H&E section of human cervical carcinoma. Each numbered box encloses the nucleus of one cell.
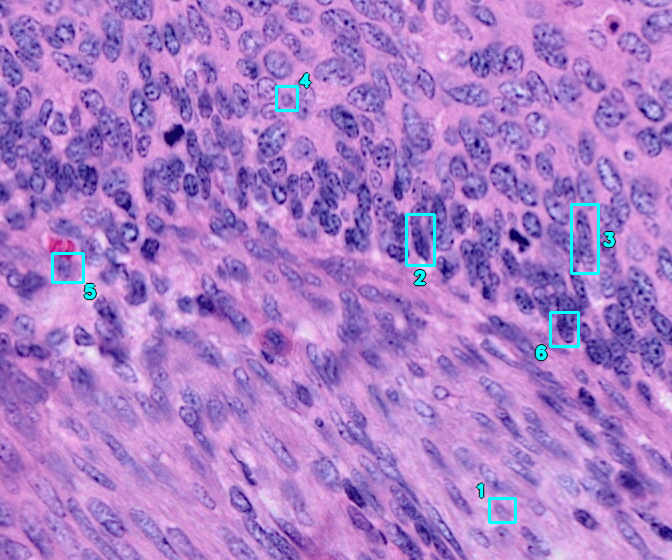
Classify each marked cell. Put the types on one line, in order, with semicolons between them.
smooth muscle cell; squamous carcinoma cell; squamous carcinoma cell; squamous carcinoma cell; endothelial cell; squamous carcinoma cell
